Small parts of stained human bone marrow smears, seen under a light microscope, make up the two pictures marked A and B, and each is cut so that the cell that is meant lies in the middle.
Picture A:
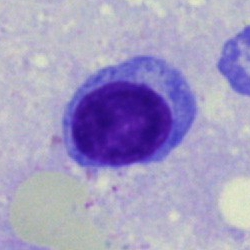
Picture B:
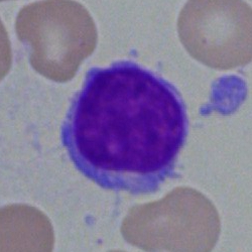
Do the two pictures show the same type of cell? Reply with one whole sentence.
Yes, they are the same type: both are lymphocytes.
